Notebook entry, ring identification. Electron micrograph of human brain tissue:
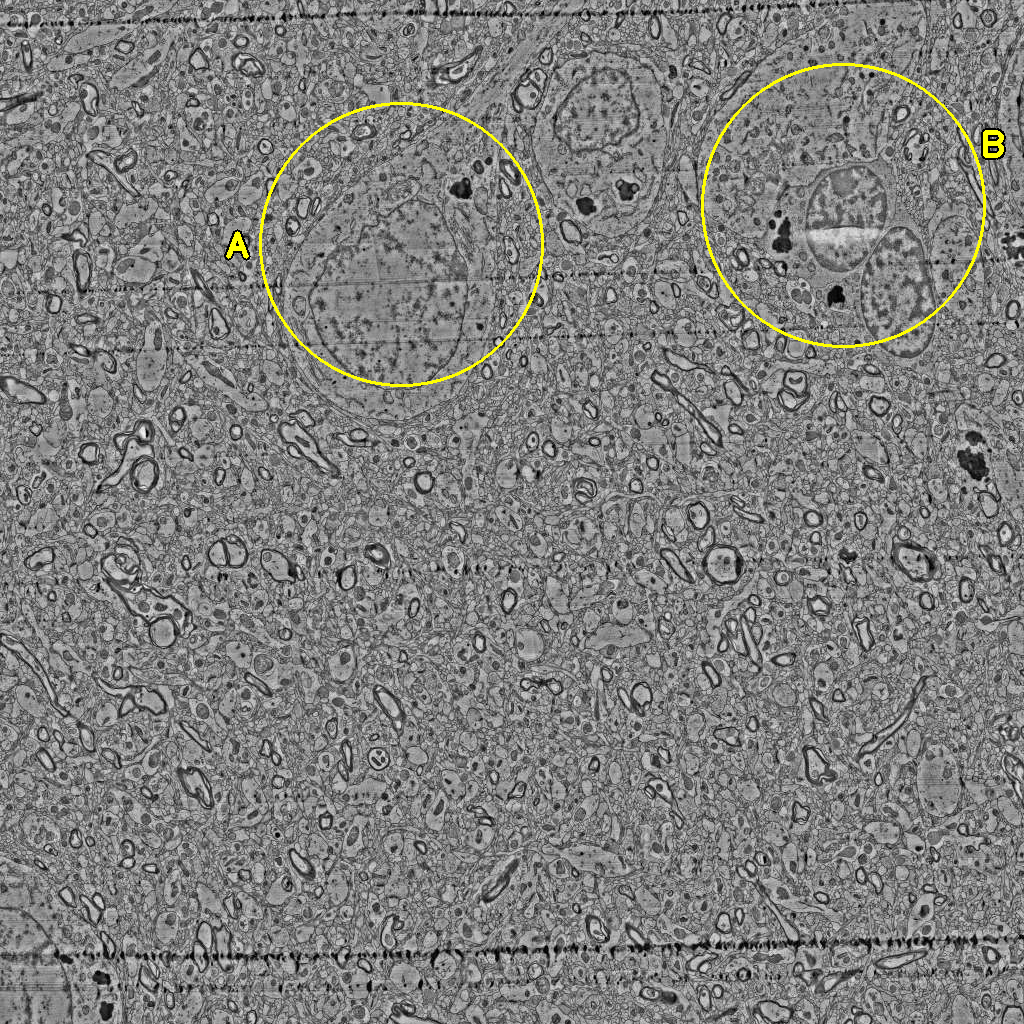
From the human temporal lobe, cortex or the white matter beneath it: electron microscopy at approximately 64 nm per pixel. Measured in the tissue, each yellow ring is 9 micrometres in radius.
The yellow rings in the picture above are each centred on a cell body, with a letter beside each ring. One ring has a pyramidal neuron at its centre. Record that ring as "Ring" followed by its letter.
Ring A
